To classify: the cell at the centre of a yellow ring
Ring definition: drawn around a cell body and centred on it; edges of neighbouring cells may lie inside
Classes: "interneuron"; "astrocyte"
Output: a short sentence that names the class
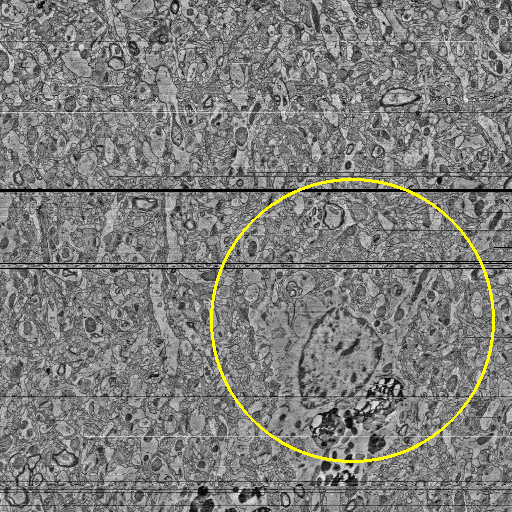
The ringed cell is an astrocyte.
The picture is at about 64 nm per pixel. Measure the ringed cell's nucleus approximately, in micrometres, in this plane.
About 6 by 5 micrometres in this plane.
